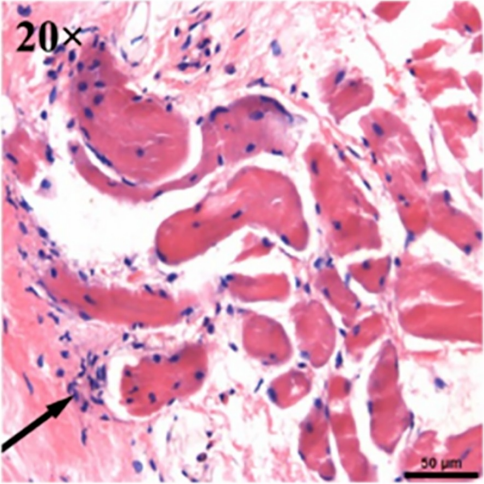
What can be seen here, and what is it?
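Pink, cross-cut and obliquely cut skeletal muscle fibres with flattened dark nuclei at their edges are separated by loose pale connective tissue. In one spot between the fibres, small dark round nuclei are packed into a tight cluster. This cluster is a small focus of inflammatory cells among the muscle fibres.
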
